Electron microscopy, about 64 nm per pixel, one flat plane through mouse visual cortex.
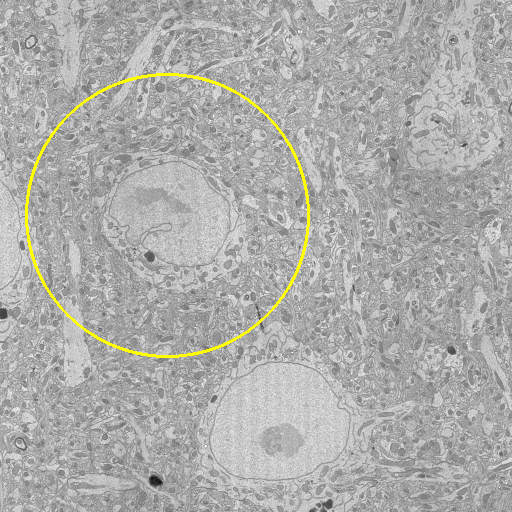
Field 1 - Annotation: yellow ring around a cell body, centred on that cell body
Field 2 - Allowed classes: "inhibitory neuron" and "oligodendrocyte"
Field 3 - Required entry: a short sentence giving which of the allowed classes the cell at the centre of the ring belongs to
The centred cell is an inhibitory neuron.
